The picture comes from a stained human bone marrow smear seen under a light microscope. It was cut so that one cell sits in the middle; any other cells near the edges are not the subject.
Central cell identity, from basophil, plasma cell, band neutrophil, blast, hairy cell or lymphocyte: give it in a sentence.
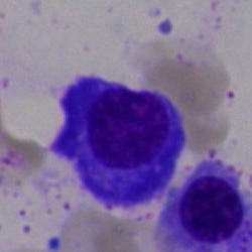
For this crop, the central cell is a plasma cell.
